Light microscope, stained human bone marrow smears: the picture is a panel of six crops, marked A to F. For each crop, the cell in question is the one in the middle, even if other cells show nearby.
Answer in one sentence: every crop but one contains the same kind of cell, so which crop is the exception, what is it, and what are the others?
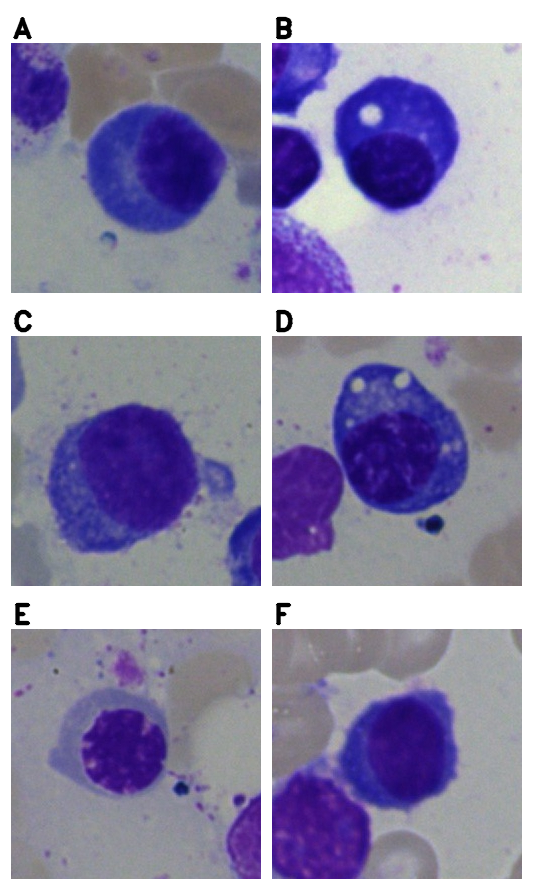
Only crop E differs, being an erythroblast, while the others all show plasma cells.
